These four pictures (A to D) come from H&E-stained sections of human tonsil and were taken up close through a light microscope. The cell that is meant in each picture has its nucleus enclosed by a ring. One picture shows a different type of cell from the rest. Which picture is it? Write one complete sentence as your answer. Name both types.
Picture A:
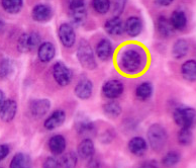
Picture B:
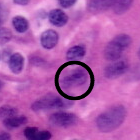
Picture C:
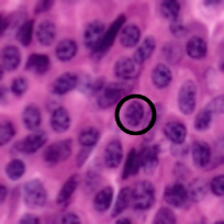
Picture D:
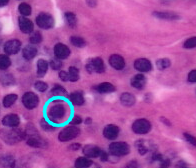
The different one is picture B; it shows a squamous epithelial cell, whereas all the others show plasma cells.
